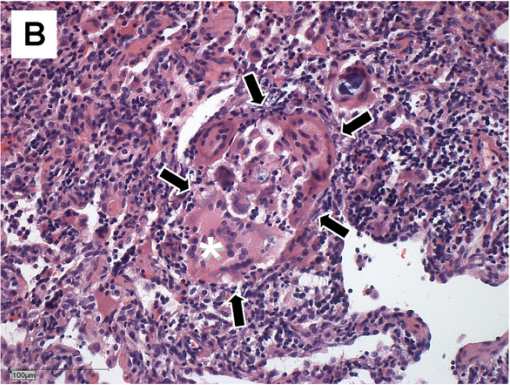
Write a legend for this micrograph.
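Lung tissue with a loosely formed granuloma lying within thickened, inflamed alveolar walls. The granuloma is a rounded cluster of pale pink histiocytes with indistinct borders, not sharply demarcated from the surroundings. Within it lies a multinucleated giant cell, a large cell with plentiful pink cytoplasm and several nuclei. No central necrosis is seen.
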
